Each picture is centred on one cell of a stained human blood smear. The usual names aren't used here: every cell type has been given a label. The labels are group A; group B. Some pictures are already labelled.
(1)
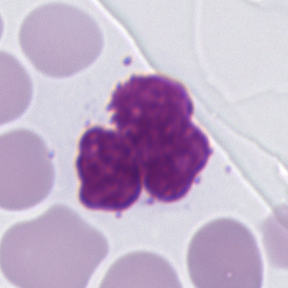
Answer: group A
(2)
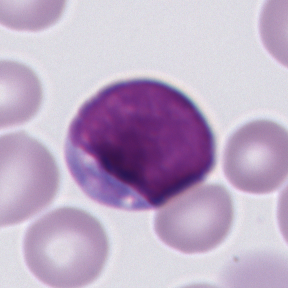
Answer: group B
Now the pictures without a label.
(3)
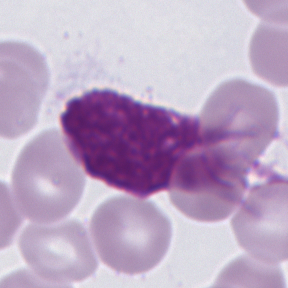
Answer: group A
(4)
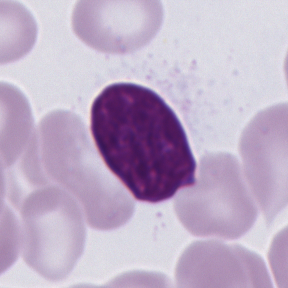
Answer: group A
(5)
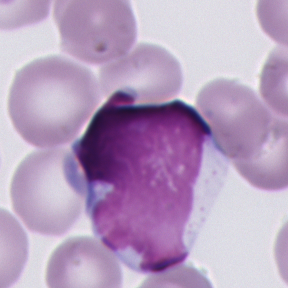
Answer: group B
